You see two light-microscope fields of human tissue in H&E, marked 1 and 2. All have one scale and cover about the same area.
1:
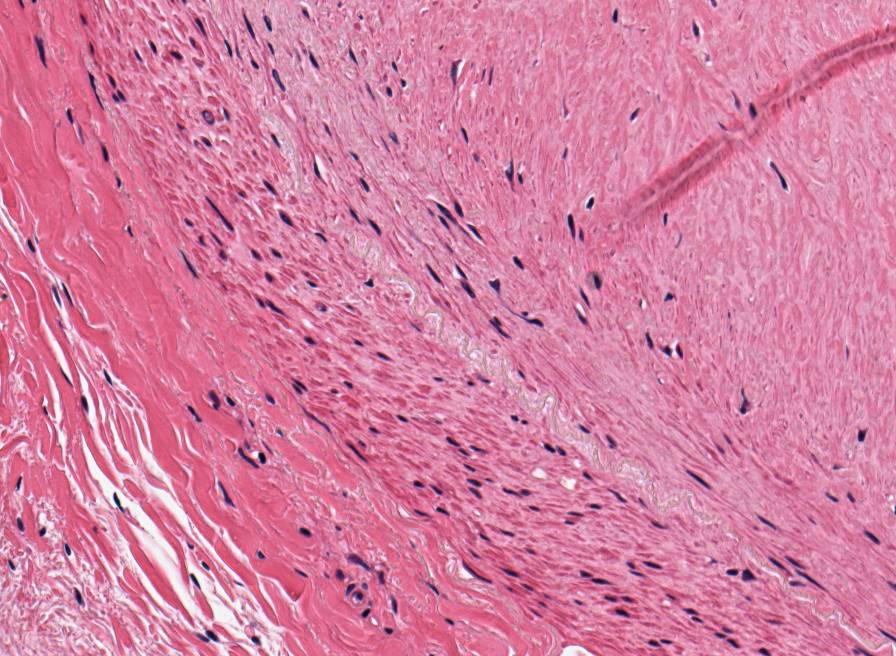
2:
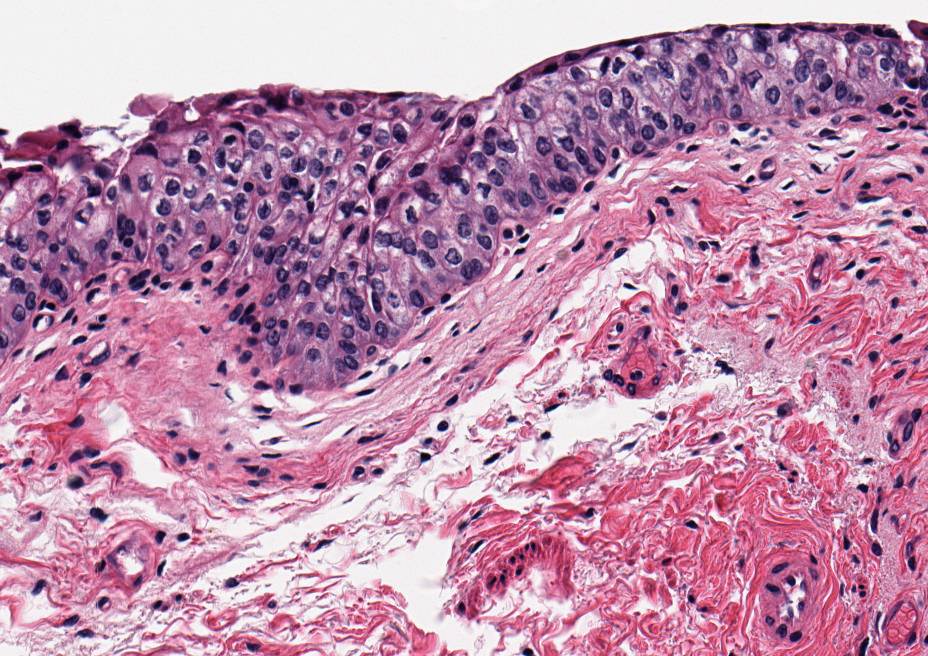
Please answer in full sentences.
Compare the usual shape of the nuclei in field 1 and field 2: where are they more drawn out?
It is field 1 whose nuclei are the more elongated.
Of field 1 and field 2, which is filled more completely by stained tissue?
It is field 1 that stained tissue fills more completely.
